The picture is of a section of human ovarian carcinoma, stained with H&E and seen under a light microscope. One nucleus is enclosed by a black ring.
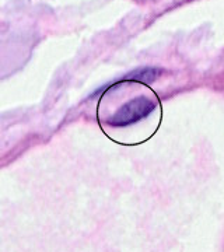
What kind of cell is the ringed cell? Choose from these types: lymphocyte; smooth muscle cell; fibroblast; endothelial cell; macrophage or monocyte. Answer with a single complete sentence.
Speaking plainly, the ringed cell is nothing other than an endothelial cell.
